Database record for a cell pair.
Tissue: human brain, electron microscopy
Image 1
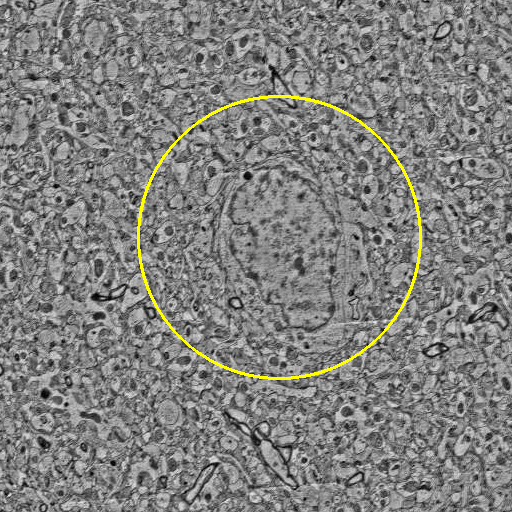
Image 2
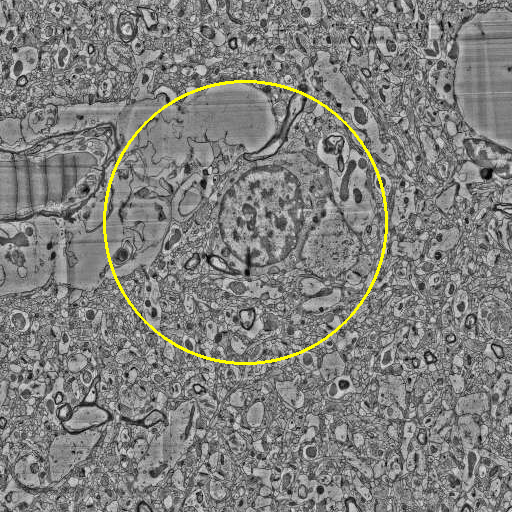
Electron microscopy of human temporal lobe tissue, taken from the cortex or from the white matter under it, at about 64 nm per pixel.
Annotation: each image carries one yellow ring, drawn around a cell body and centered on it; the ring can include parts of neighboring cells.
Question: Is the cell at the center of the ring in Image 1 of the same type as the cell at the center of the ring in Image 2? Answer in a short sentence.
No, the cells are of two types.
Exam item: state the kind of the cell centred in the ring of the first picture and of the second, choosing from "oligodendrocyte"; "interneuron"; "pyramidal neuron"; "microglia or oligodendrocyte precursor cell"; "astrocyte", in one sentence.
The first picture shows an interneuron at the ring centre and the second shows an oligodendrocyte.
